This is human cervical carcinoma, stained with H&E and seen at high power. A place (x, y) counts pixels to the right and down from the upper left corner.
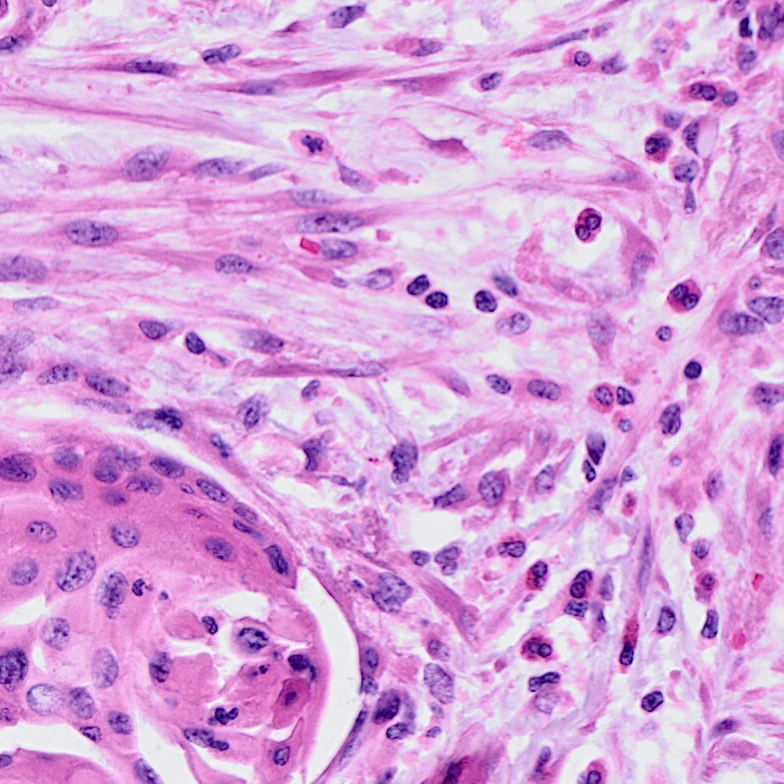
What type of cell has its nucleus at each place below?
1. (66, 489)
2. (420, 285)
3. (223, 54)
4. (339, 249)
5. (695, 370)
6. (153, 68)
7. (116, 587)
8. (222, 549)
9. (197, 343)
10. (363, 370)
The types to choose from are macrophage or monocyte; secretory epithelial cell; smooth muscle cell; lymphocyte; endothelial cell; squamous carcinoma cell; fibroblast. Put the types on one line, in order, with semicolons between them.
squamous carcinoma cell; lymphocyte; macrophage or monocyte; endothelial cell; lymphocyte; fibroblast; squamous carcinoma cell; squamous carcinoma cell; lymphocyte; fibroblast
